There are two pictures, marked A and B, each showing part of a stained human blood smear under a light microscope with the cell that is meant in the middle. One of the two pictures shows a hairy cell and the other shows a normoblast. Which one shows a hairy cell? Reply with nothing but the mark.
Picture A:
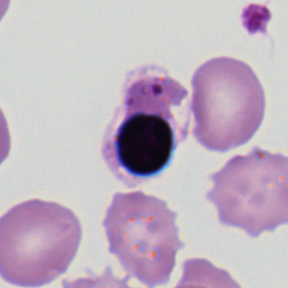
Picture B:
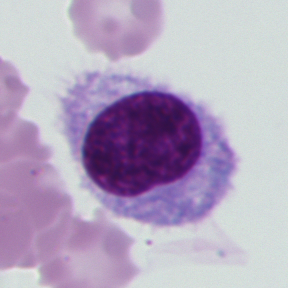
B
